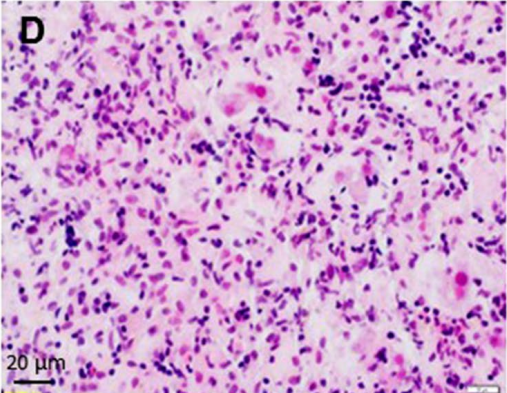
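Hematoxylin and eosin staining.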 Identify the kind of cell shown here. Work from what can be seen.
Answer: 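Many small cells with round, dense dark nuclei and scant cytoplasm. Other cells have paler, oval to elongated nuclei with more pale cytoplasm. No cells with bright red granular cytoplasm are seen.
Lymphocytes and histiocytes.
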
